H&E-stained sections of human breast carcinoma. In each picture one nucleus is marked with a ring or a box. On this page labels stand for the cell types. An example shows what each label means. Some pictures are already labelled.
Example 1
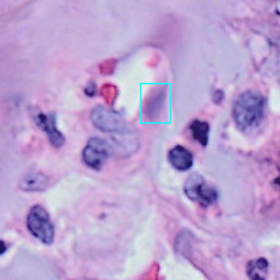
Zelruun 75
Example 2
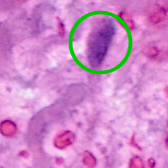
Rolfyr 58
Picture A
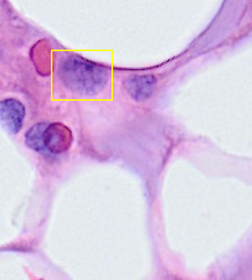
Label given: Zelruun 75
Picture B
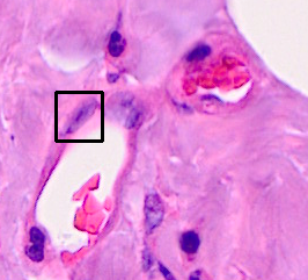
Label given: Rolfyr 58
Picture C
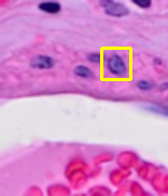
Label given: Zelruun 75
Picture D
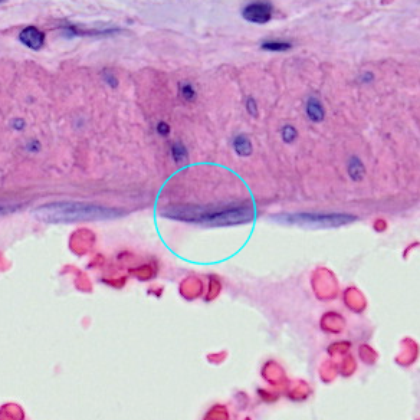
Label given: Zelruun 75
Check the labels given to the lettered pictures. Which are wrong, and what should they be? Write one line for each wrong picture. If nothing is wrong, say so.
B: not Rolfyr 58 but Zelruun 75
